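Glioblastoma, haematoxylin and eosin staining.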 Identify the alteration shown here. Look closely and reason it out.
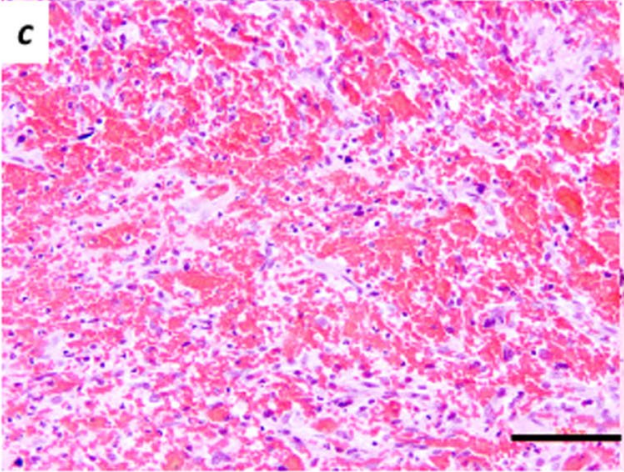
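Large bright red fields of red blood cells fill much of the panel. Purple-stained cells lie scattered between the red areas.
Conclusion: Haemorrhage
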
